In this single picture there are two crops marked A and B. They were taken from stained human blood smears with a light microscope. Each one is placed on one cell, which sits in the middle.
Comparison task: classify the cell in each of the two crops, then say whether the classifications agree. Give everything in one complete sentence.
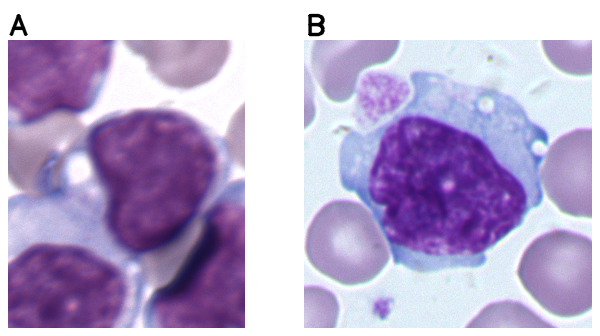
Yes, both crops in this set show myeloblasts.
